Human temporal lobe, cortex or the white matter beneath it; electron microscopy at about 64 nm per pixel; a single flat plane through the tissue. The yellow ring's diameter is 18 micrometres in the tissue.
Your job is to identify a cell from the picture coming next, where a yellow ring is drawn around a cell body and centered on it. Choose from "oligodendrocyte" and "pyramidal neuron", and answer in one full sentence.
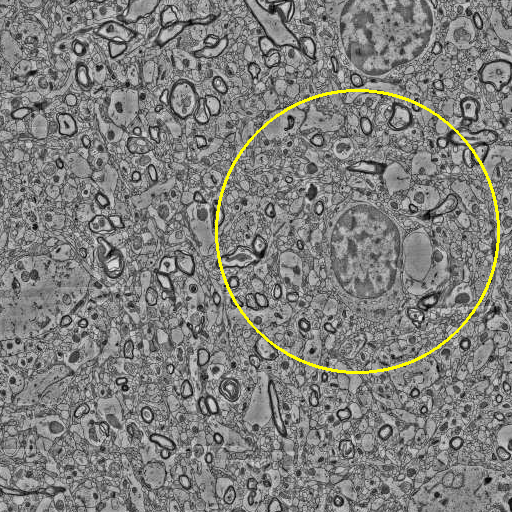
Centered in the yellow ring of the picture is the body of an oligodendrocyte.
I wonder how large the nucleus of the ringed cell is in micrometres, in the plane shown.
In this plane the nucleus measures roughly 6 by 4 micrometres.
